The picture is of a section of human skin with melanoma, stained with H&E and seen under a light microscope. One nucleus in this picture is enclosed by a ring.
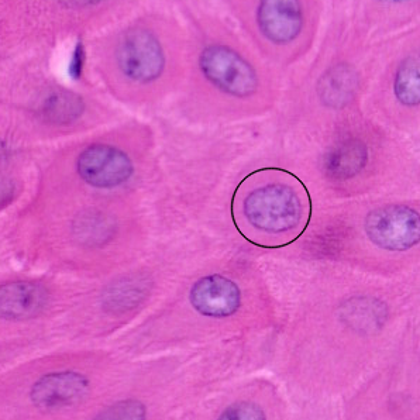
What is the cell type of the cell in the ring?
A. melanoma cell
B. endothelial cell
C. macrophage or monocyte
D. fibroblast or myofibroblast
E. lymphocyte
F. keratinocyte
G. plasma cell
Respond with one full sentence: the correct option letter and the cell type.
Option F correctly labels the cell in the ring as a keratinocyte.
